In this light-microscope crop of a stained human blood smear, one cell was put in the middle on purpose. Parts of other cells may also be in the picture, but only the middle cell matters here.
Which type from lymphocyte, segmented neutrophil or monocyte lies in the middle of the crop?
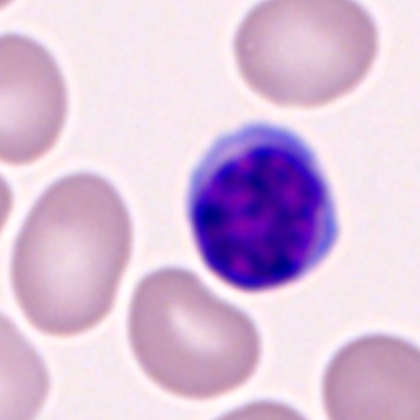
lymphocyte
